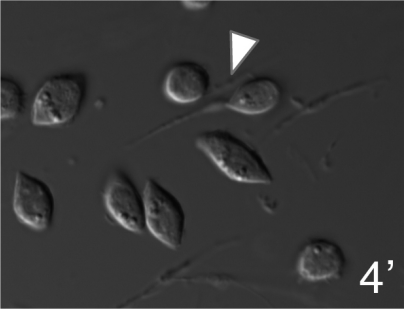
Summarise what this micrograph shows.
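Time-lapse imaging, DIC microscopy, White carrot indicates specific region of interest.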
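Scattered single cells are seen in relief, mostly teardrop- to spindle-shaped with granular cytoplasm, together with a few rounded cells. Below the arrowhead, a small oval cell sits close to a round cell, with a thin tapering extension between them. Fine thread-like filaments cross the background.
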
